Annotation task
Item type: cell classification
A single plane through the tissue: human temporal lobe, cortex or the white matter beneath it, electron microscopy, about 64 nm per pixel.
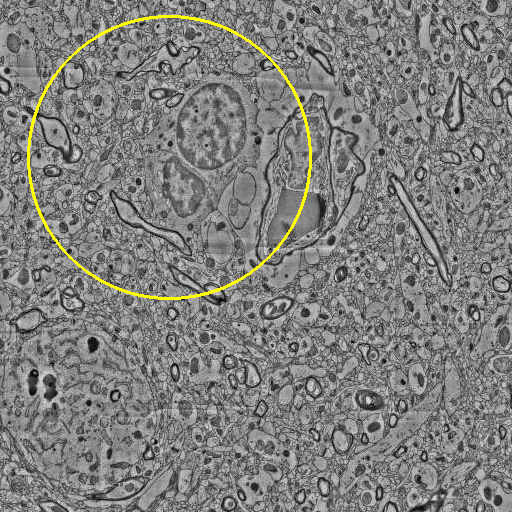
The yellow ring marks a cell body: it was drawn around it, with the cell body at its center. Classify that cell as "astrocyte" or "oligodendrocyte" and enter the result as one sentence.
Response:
The ring's center falls on an oligodendrocyte.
